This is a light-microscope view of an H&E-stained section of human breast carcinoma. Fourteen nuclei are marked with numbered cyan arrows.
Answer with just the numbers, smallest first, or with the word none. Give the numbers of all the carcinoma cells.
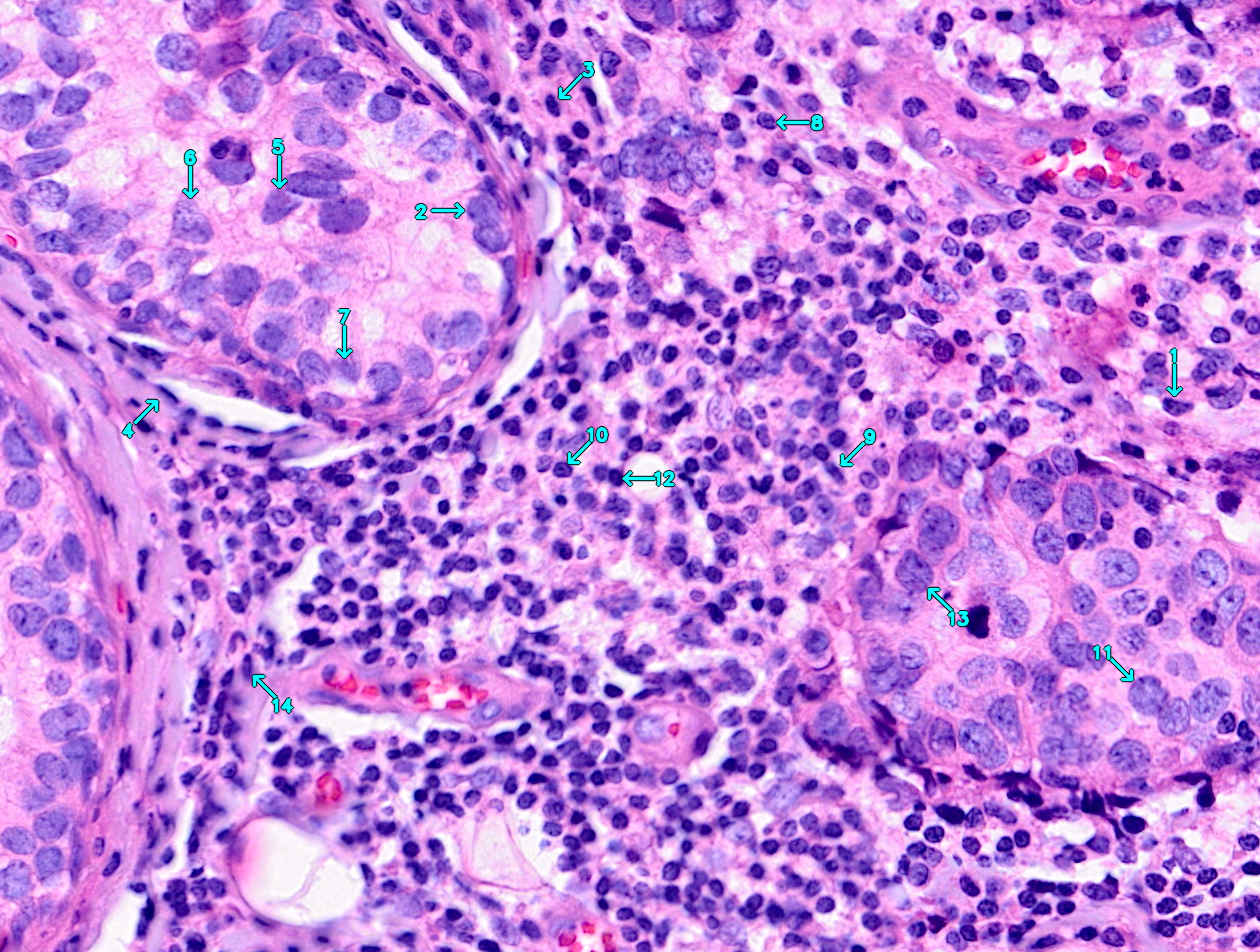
2, 5, 6, 7, 11, 13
